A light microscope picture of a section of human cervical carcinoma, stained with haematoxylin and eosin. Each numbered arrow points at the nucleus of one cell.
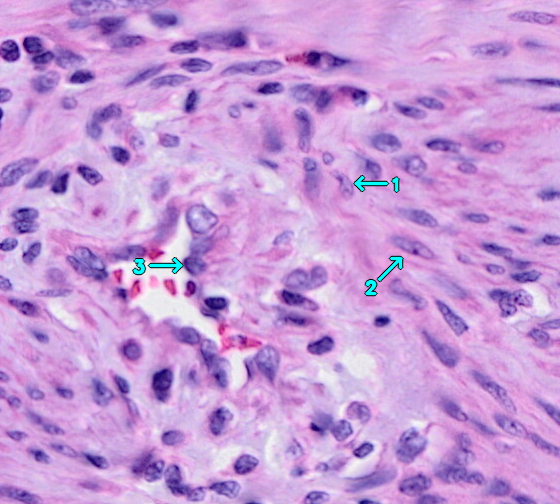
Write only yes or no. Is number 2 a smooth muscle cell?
yes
